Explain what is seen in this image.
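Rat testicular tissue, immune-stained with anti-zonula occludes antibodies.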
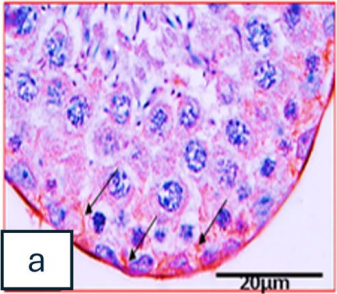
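Seminiferous epithelium cut near the tubule wall, packed with cells bearing round blue nuclei with granular chromatin. Pinkish-orange stain outlines cells, strongest as lines between Sertoli cells just above the basement membrane at the basal compartment. Small dark flattened nuclei lie along the outer edge of the tubule.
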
